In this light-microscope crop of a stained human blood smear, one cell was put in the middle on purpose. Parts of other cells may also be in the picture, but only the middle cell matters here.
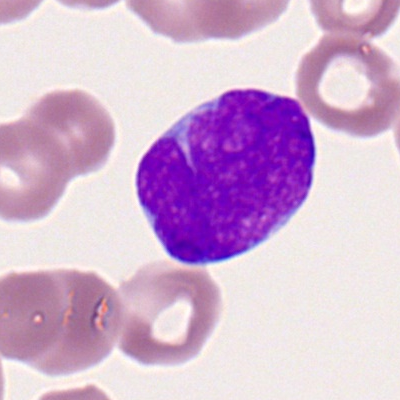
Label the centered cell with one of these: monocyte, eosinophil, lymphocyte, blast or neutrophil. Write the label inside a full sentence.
The target cell in the middle of the crop is a blast.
